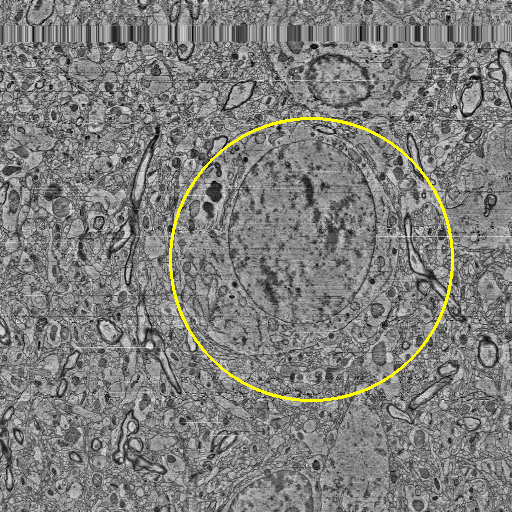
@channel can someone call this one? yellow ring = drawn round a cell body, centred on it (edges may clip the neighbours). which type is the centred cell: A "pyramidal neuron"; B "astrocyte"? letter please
A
